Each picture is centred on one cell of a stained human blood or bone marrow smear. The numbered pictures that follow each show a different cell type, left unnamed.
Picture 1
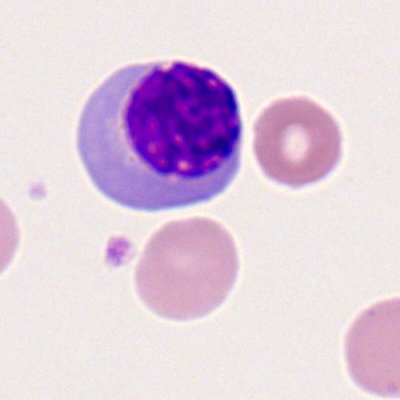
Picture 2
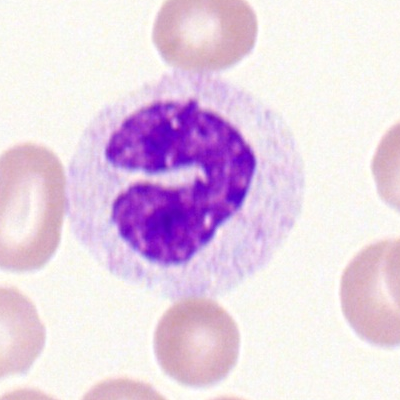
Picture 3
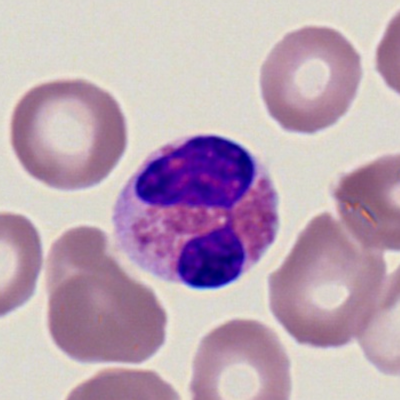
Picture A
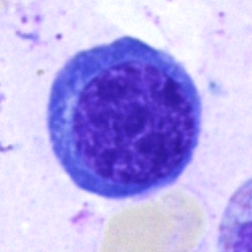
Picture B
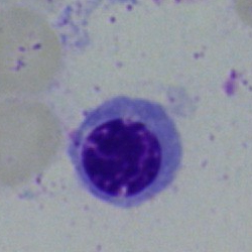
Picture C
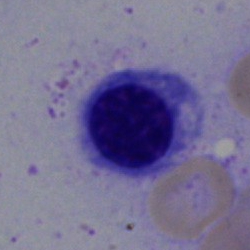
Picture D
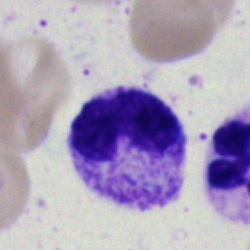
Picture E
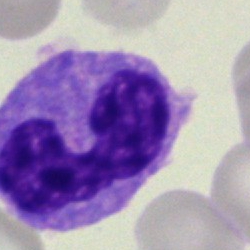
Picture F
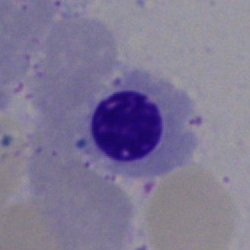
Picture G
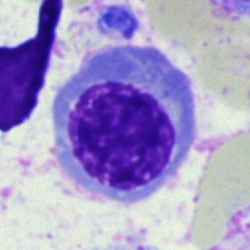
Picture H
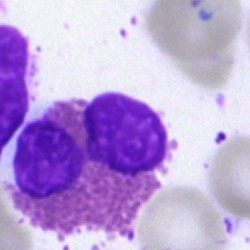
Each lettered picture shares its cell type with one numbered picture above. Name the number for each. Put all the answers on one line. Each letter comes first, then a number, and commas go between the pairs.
A 1, B 1, C 1, D 2, E 2, F 1, G 1, H 3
